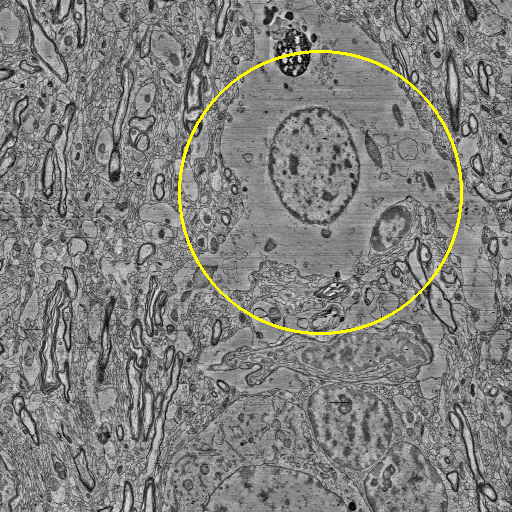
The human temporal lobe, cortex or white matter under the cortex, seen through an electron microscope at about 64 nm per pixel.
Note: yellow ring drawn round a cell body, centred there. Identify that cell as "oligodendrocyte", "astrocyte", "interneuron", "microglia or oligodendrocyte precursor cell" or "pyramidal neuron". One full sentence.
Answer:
The cell in the middle of the ring is an astrocyte.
